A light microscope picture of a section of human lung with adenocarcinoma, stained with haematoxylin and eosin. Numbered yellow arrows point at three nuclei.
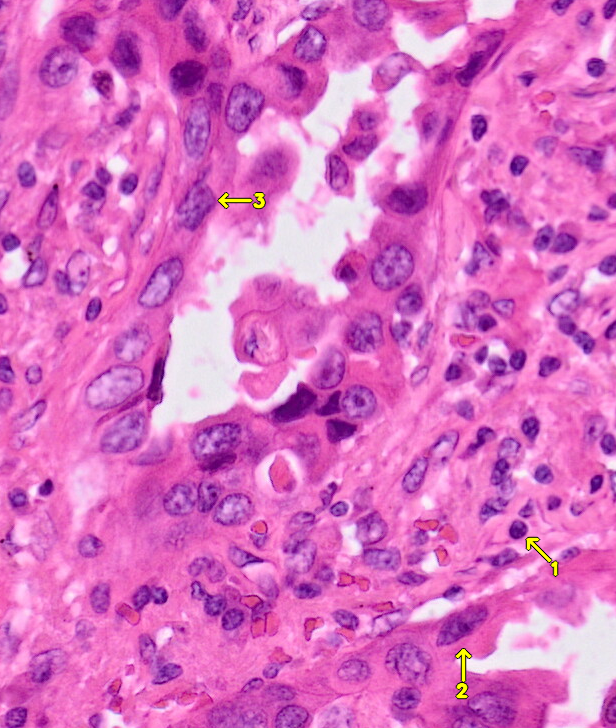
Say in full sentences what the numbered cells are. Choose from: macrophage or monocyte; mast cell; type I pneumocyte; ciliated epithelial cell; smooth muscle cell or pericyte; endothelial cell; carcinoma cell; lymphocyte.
Cell 1 is a lymphocyte, cell 2 is a carcinoma cell and cell 3 is a carcinoma cell.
